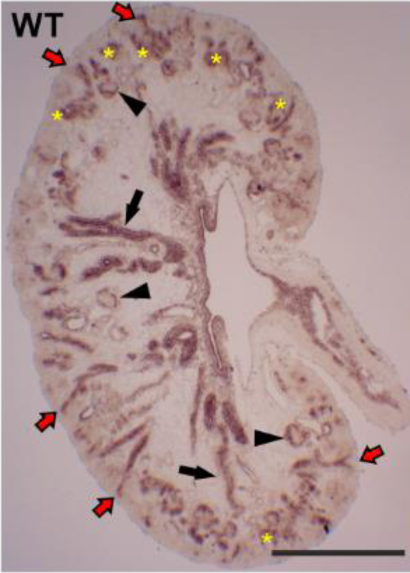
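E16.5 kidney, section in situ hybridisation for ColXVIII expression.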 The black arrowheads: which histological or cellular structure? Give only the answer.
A: Glomeruli.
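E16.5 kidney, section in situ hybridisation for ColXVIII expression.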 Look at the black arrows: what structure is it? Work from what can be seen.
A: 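The arrows point to long stained tubes running radially from the centre toward the cortex. The tubes converge on the central cavity of the kidney. That points to this answer: collecting ducts.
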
